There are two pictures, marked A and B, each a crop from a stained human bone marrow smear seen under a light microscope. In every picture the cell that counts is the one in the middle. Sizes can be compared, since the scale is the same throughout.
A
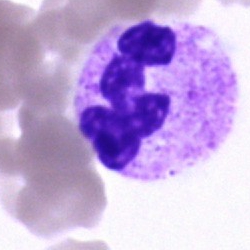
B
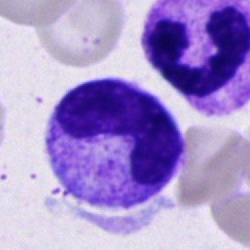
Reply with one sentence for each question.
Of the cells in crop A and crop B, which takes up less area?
Smaller is the cell in crop B, and the other is about 1.5 times as large in area.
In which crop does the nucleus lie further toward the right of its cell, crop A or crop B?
It is the nucleus in crop B that lies further toward the right of its cell.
